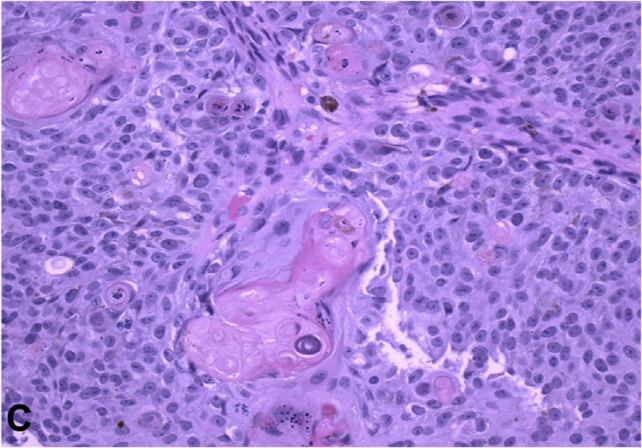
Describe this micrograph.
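This high-power view of the tumor shows sheets of basaloid cells with scattered shadow cells and melanin pigment. Set among them are small islands of pink, glassy shadow cells that keep their cell outlines but have pale, ghost-like centres in place of nuclei. Fine brown-black granules of pigment are sprinkled between the cells and within some of the pink islands.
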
